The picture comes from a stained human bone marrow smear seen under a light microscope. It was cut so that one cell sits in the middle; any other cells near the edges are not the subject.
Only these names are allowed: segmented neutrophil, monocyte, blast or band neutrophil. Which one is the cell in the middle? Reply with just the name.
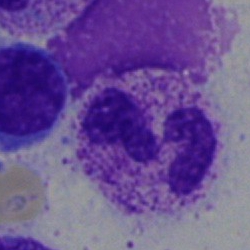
segmented neutrophil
